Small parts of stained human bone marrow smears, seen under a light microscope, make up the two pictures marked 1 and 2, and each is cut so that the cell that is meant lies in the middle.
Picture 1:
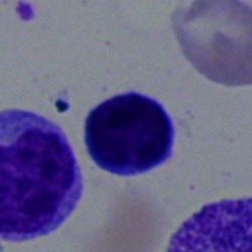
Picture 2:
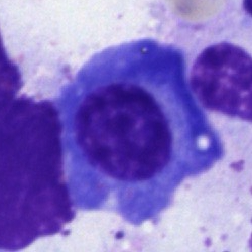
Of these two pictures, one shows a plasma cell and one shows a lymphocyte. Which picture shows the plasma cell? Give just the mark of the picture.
2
